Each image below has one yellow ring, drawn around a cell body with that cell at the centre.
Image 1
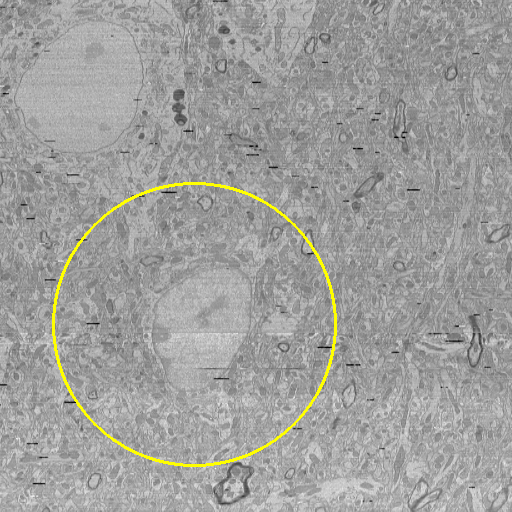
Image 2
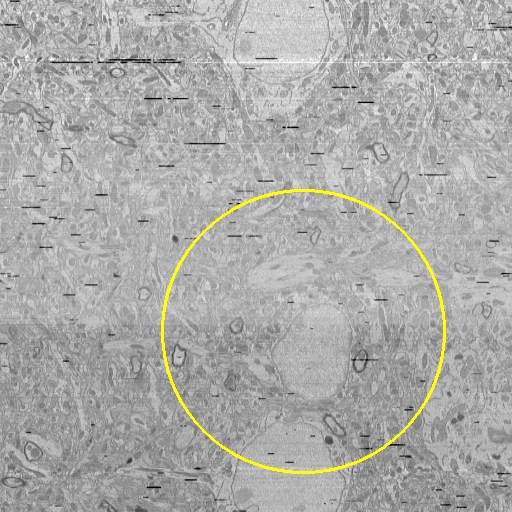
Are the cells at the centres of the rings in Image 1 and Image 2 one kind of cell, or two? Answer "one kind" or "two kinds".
one kind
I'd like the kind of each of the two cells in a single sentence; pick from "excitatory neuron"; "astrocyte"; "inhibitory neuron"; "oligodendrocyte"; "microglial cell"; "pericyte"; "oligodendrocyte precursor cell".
The cell at the ring centre is an astrocyte in both pictures.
